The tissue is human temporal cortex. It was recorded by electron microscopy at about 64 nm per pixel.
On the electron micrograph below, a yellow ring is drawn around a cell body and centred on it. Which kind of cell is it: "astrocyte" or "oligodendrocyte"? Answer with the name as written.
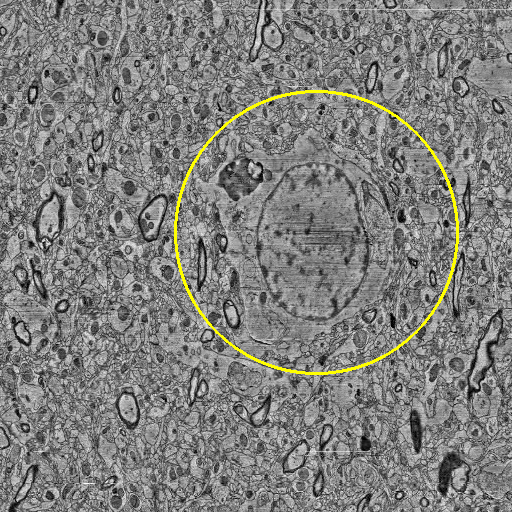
astrocyte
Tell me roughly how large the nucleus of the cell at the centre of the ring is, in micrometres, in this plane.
In this plane, about 10 micrometres in length and 7 in width.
